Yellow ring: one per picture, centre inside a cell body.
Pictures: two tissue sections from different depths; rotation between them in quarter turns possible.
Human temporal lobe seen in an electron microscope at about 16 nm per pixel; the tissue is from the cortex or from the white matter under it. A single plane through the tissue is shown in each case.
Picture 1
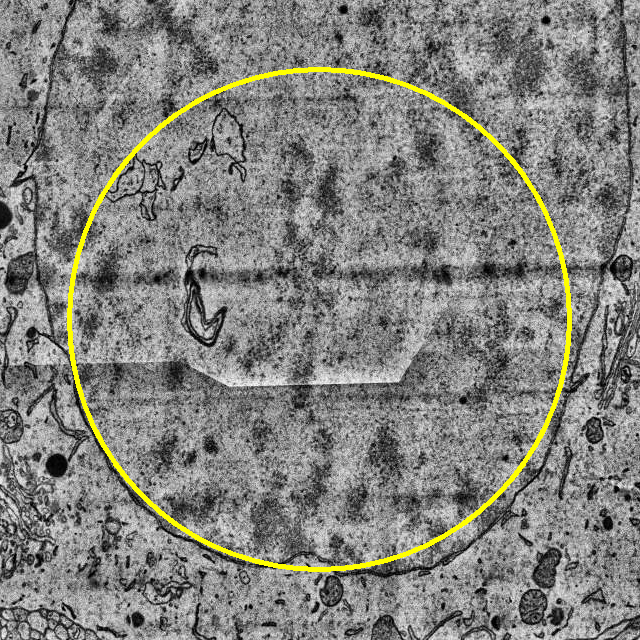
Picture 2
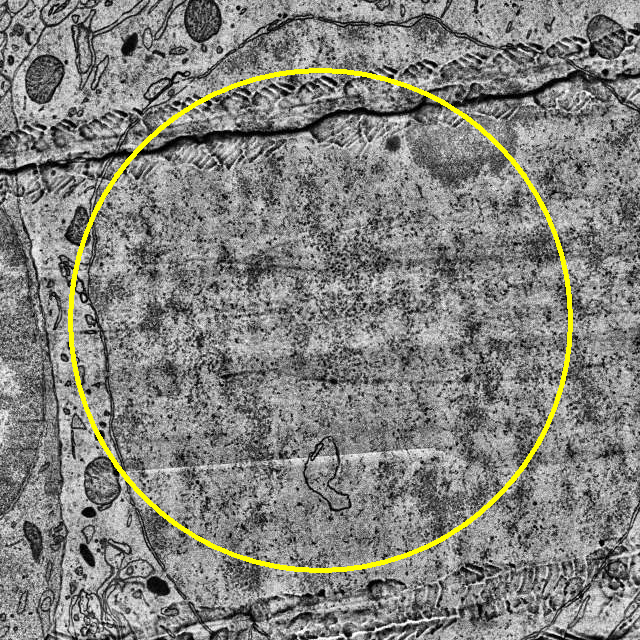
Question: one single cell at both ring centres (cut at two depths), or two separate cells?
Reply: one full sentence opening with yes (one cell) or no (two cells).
No, the two marked cells are different cells.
